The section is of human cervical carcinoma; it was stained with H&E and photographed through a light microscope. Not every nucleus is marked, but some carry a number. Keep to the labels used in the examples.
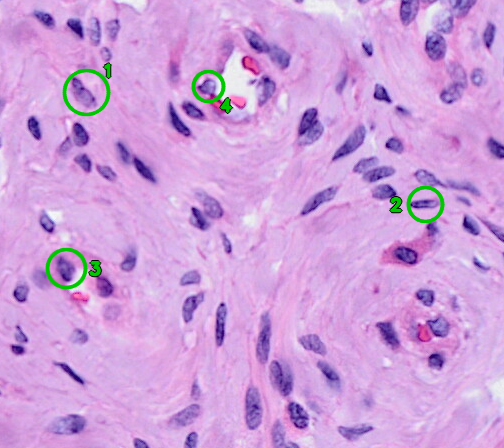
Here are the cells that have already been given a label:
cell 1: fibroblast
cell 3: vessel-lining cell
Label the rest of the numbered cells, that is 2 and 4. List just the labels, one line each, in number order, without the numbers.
fibroblast
vessel-lining cell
